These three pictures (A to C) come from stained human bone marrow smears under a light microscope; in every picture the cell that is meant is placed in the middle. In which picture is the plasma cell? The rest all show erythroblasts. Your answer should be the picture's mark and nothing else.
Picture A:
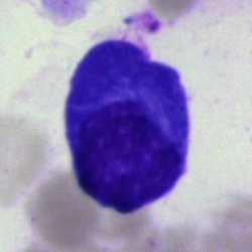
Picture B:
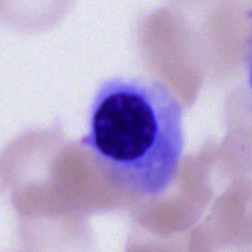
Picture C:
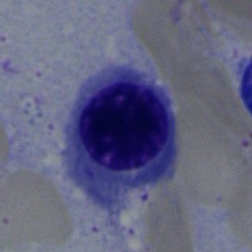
A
